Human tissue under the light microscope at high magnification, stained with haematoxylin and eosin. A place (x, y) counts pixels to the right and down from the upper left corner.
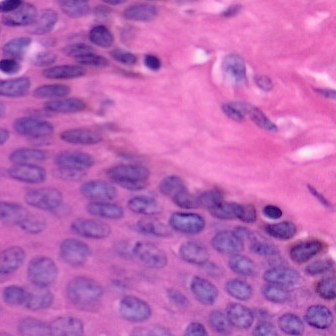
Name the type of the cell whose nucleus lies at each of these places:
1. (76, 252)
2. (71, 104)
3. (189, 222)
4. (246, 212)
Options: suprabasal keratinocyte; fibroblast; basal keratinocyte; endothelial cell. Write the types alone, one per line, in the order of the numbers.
suprabasal keratinocyte
basal keratinocyte
basal keratinocyte
basal keratinocyte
